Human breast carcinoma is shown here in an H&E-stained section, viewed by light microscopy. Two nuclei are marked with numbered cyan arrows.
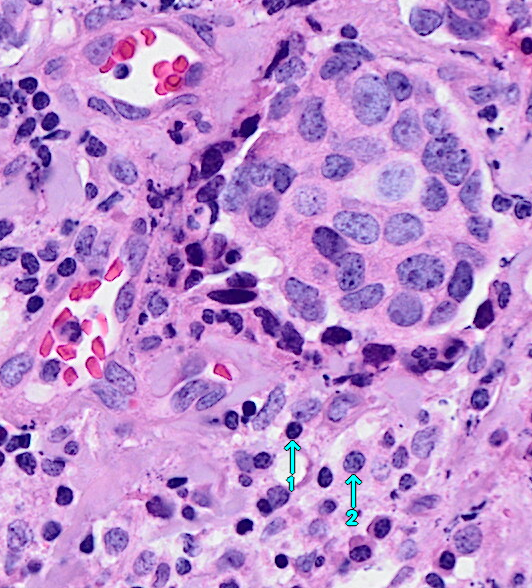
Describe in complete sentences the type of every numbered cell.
Cell 1 is a lymphocyte. Cell 2 is a mast cell.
